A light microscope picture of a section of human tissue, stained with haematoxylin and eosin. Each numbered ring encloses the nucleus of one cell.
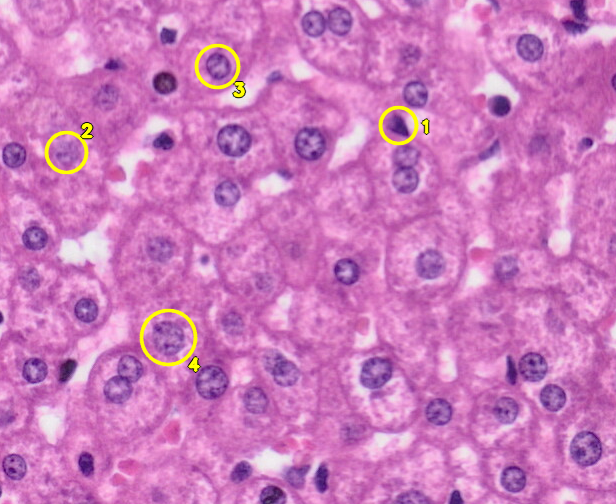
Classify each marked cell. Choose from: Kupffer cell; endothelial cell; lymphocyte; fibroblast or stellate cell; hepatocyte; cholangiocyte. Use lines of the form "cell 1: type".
cell 1: fibroblast or stellate cell
cell 2: hepatocyte
cell 3: hepatocyte
cell 4: hepatocyte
